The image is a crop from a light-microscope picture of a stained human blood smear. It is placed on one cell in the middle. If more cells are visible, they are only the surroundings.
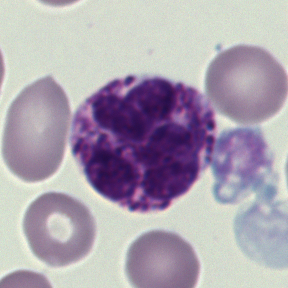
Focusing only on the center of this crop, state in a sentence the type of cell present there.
In this smear crop, the middle cell is a basophil.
